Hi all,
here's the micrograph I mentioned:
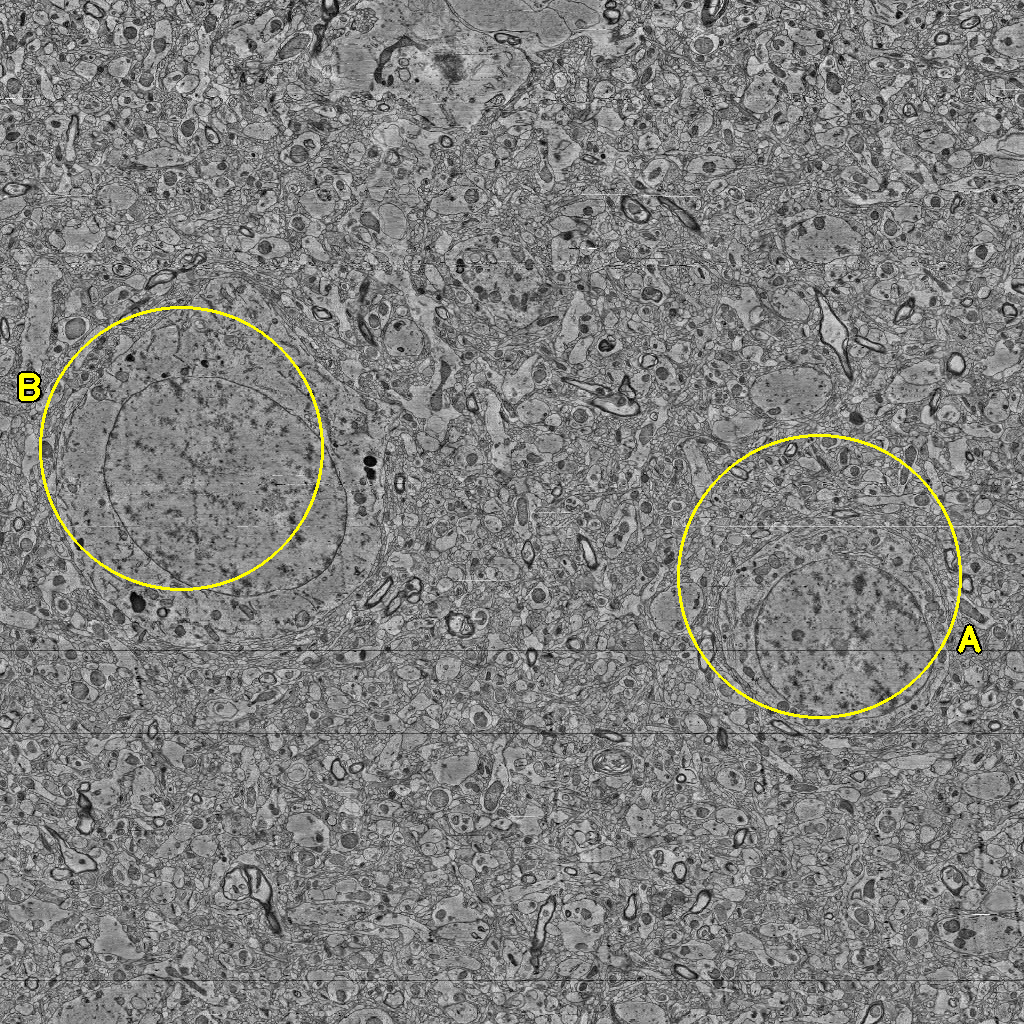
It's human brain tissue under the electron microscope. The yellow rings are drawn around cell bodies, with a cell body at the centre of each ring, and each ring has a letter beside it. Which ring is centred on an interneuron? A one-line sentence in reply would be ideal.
It's the one labelled A.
